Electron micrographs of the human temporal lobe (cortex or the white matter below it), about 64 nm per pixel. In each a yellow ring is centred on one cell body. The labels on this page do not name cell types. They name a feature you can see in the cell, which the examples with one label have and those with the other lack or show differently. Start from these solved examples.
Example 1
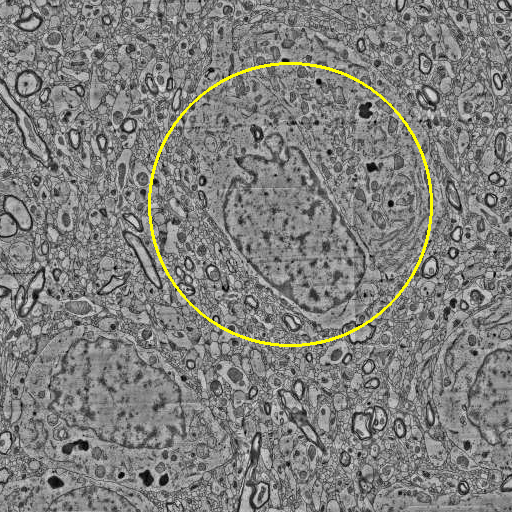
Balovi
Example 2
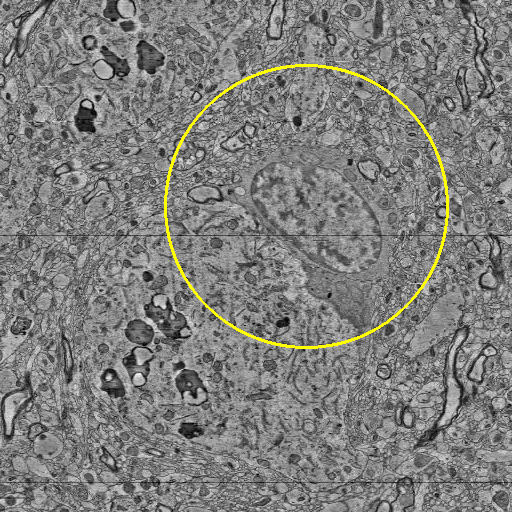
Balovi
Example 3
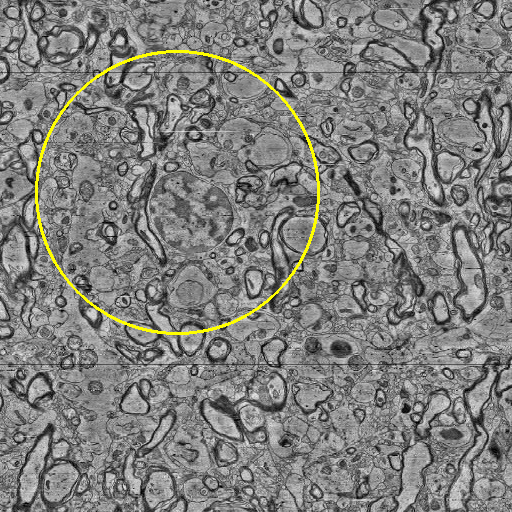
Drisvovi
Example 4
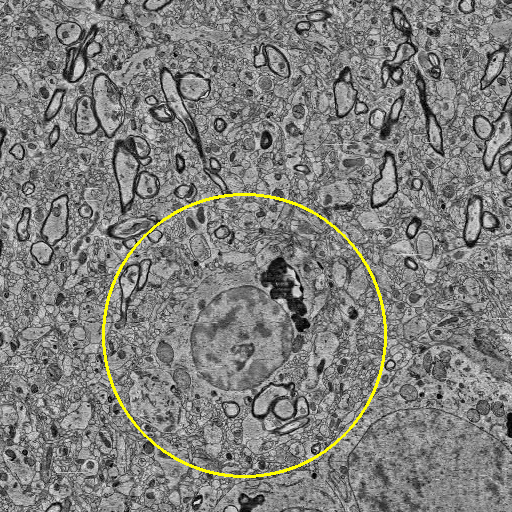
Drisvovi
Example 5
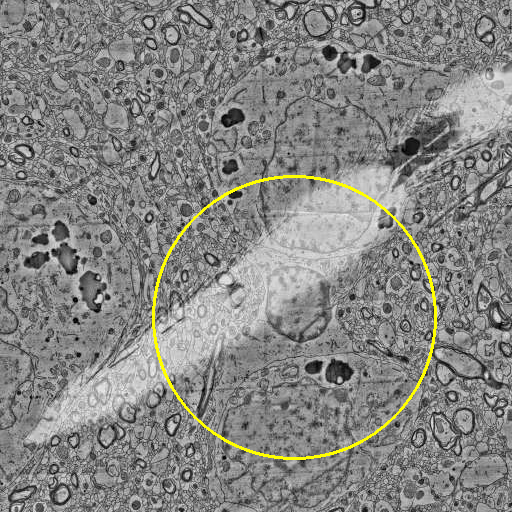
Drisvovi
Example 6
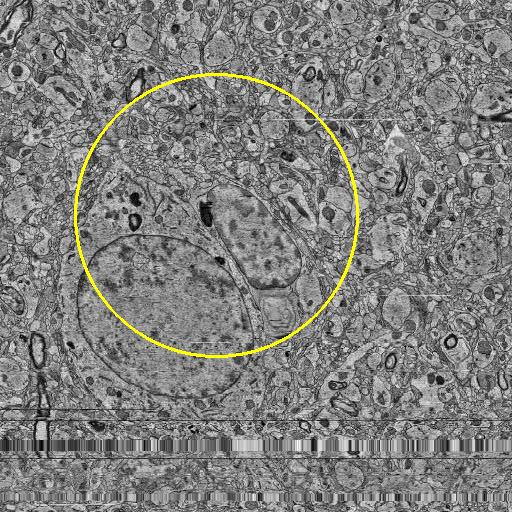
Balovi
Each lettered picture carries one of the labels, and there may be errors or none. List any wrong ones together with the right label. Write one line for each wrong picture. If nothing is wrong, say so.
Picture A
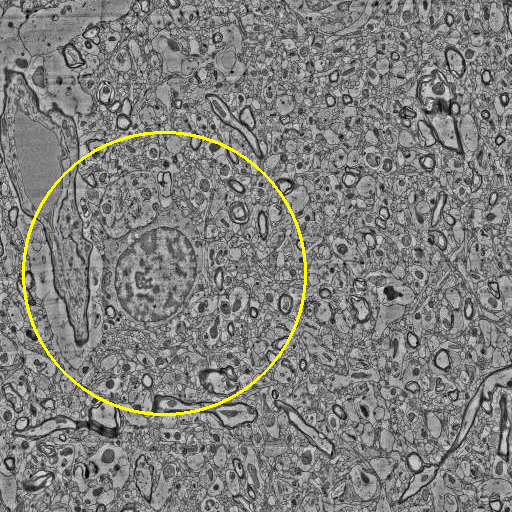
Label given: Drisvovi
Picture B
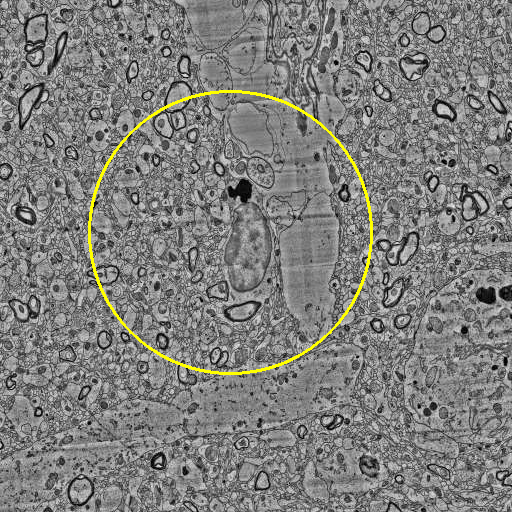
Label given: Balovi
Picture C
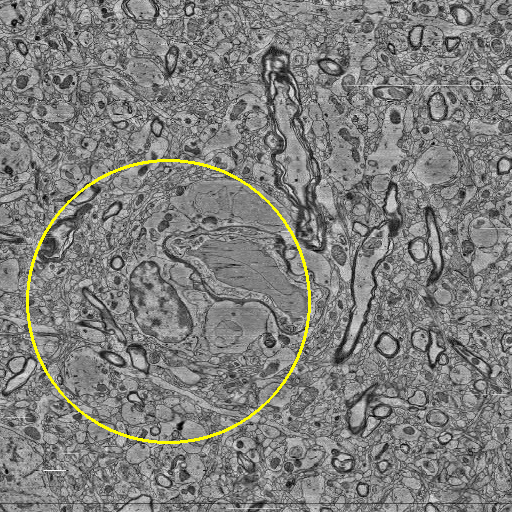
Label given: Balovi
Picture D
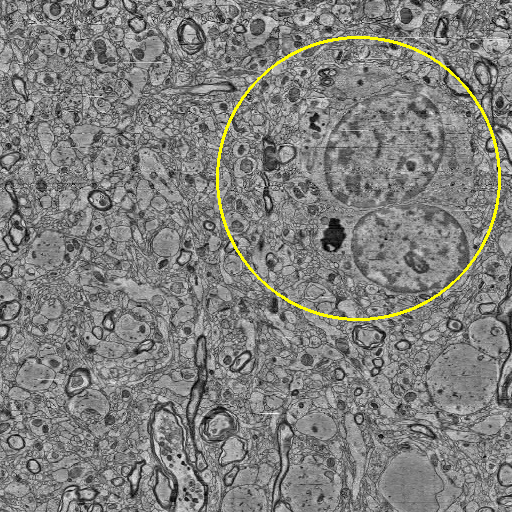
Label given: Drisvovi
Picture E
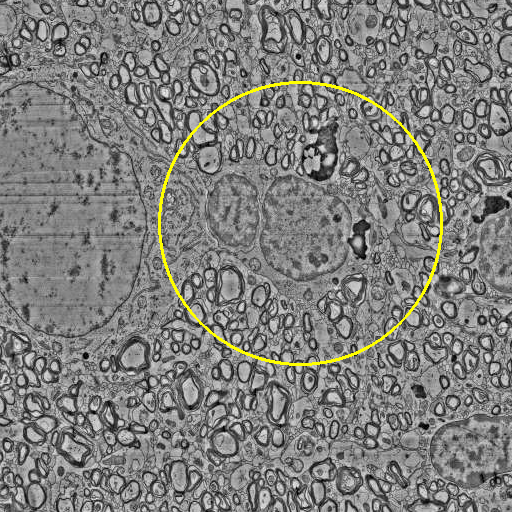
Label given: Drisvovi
Every label is right.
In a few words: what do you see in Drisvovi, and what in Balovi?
Seen in Drisvovi: round or nearly round nuclei; seen in Balovi: clearly elongated nuclei.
